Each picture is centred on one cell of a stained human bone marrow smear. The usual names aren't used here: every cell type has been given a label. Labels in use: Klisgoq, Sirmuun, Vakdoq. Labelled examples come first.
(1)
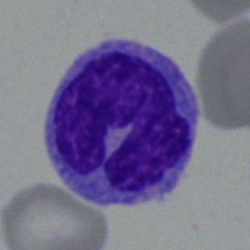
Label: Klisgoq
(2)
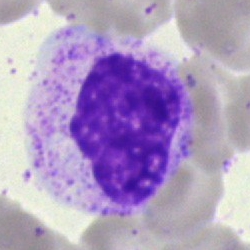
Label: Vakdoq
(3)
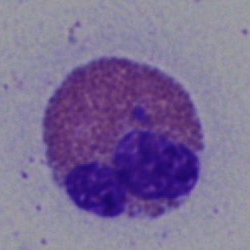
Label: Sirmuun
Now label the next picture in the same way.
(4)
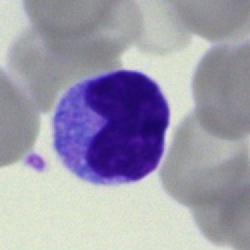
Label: Klisgoq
